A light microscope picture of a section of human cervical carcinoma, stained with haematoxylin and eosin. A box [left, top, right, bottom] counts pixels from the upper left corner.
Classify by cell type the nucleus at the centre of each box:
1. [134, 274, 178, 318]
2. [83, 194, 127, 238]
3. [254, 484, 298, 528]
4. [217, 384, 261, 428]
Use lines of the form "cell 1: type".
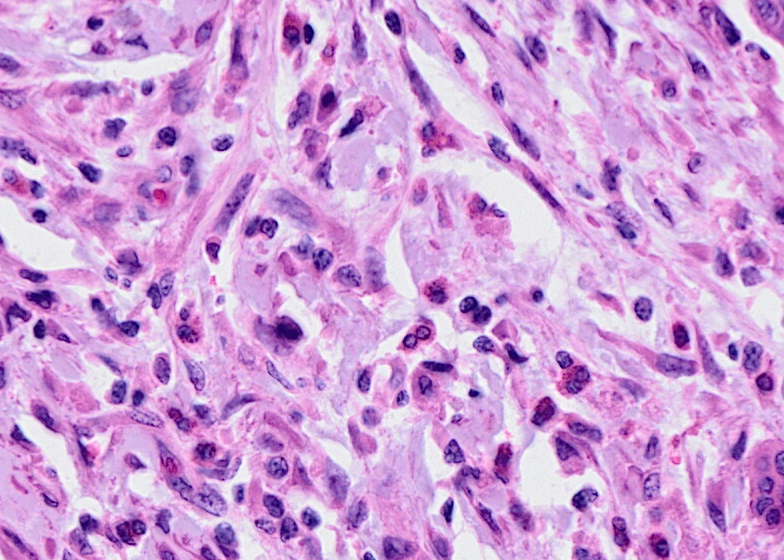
cell 1: lymphocyte
cell 2: endothelial cell
cell 3: lymphocyte
cell 4: fibroblast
